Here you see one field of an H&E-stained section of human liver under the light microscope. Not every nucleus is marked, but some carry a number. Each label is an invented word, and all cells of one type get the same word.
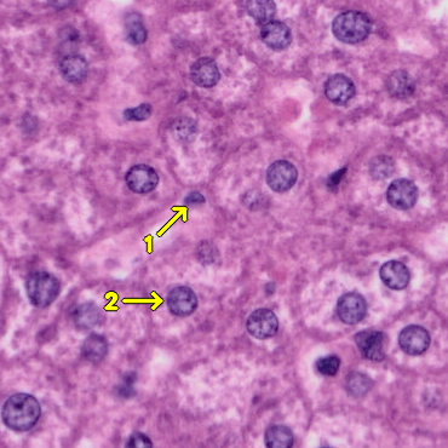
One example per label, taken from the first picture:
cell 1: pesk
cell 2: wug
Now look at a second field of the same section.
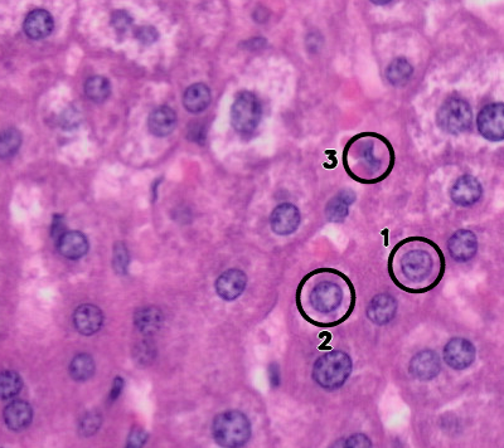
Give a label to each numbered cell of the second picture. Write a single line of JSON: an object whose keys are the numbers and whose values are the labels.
{"1": "wug", "2": "wug", "3": "pesk"}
